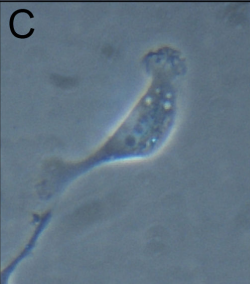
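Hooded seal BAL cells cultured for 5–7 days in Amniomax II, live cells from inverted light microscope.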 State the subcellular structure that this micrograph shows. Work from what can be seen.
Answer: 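Several small round clear inclusions lie within the cytoplasm of the elongated cell. The inclusions are clustered in the cell body. On this evidence: Vacuoles.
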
